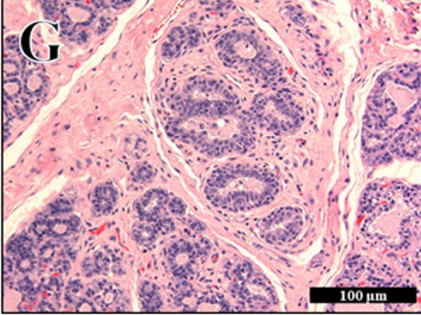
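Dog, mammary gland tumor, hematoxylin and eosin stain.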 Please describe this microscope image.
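In situ carcinoma formed by nests of neoplastic epithelial cells. Cells are cuboidal to columnar with round to oval purple nuclei, crowded and stratified in places. Within the nests the cells arrange around small tubular lumens. The nests are bounded by bands of pink collagenous stroma carrying small blood vessels.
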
